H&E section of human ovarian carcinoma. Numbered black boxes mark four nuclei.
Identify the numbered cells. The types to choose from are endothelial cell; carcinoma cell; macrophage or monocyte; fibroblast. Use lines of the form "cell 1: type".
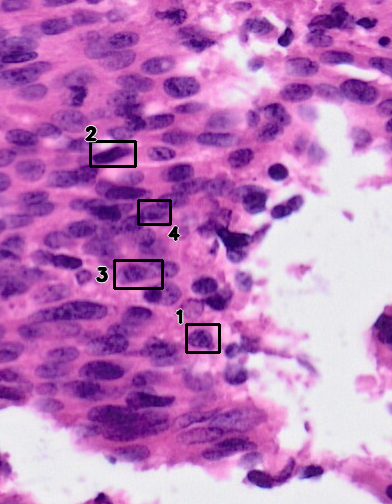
cell 1: macrophage or monocyte
cell 2: carcinoma cell
cell 3: carcinoma cell
cell 4: carcinoma cell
